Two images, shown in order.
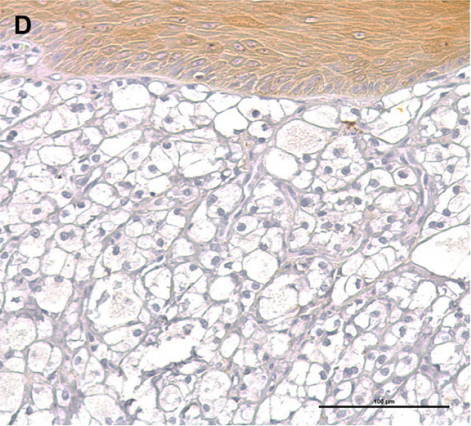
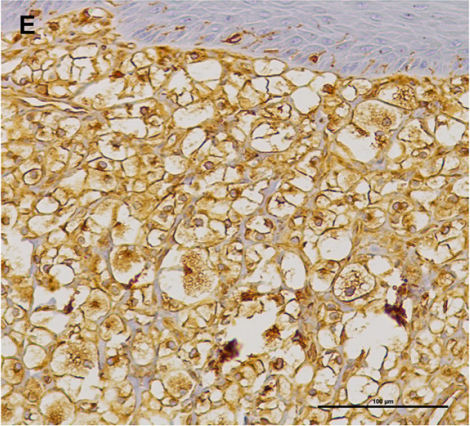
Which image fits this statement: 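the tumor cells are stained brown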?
The second image.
